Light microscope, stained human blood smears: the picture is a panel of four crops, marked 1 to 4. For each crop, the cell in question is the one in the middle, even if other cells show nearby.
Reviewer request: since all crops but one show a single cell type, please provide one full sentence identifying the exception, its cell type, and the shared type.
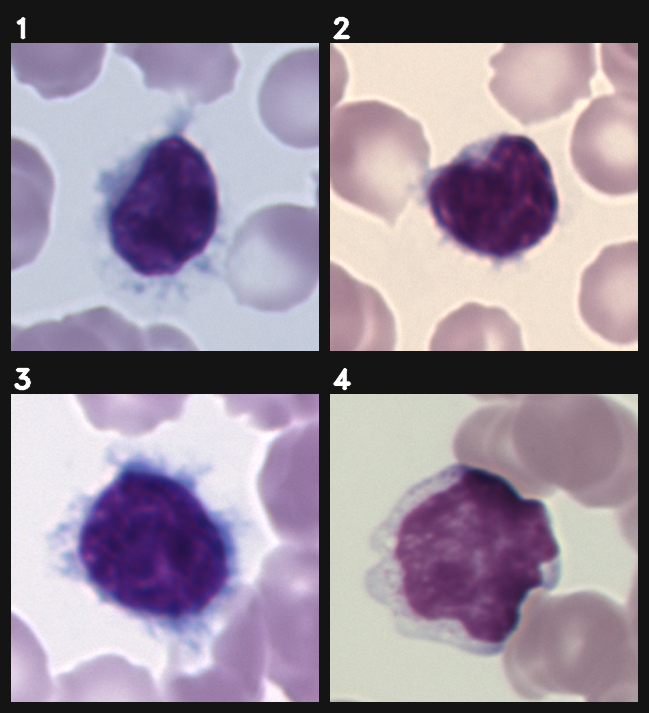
Crop 4 alone is a large granular lymphocyte, and the other crops are all hairy cells.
